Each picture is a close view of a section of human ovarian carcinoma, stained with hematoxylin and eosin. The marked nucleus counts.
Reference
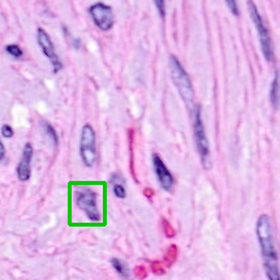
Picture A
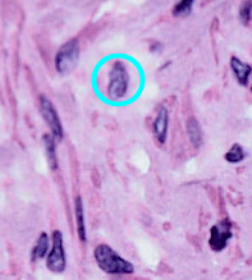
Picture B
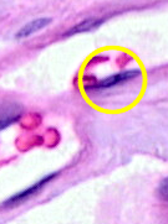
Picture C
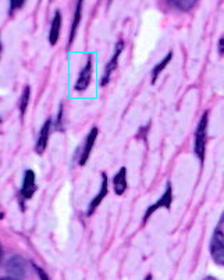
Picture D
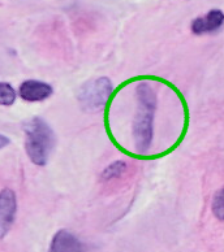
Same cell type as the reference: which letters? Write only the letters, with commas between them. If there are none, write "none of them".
A, C, D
